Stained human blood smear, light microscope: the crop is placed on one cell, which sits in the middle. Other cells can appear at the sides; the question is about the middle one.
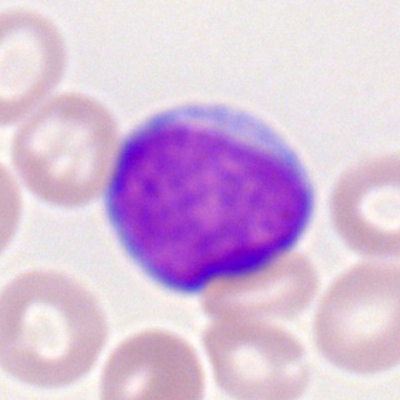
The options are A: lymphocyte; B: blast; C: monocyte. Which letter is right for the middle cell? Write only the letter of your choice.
B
